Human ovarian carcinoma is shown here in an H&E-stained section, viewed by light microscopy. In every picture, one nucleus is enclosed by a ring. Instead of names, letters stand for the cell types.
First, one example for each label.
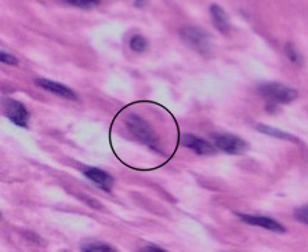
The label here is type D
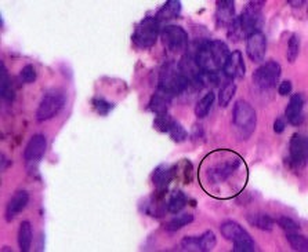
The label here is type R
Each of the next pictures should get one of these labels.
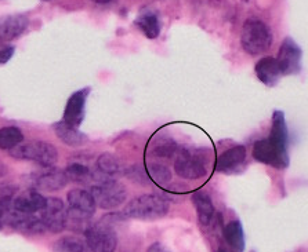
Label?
type R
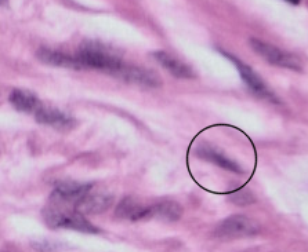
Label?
type D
